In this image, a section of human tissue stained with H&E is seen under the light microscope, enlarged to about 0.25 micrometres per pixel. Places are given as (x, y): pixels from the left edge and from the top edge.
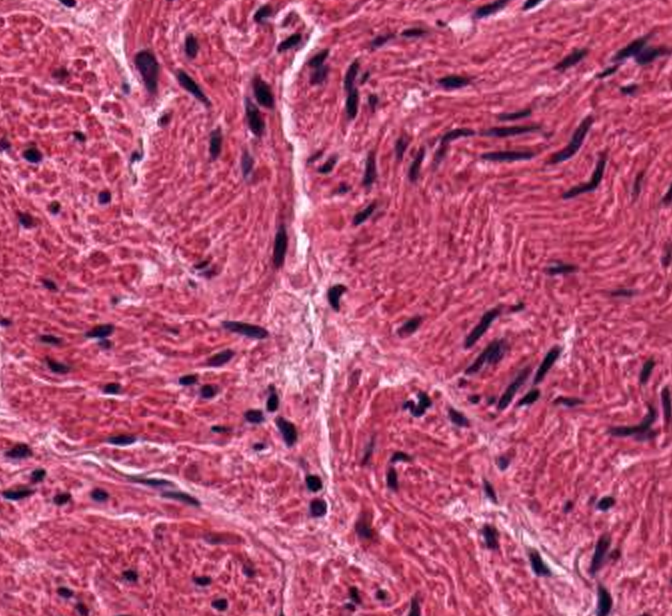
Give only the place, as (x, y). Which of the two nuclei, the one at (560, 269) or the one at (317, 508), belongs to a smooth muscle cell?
(560, 269)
